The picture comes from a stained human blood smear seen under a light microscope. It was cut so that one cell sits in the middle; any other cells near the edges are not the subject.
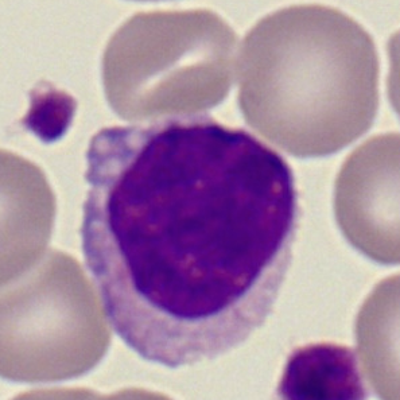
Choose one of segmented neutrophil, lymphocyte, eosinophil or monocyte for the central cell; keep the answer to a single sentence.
At the middle of the frame sits a lymphocyte.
